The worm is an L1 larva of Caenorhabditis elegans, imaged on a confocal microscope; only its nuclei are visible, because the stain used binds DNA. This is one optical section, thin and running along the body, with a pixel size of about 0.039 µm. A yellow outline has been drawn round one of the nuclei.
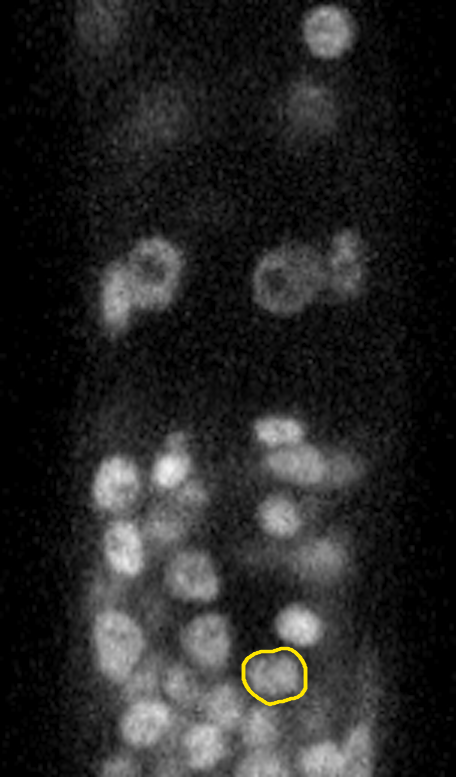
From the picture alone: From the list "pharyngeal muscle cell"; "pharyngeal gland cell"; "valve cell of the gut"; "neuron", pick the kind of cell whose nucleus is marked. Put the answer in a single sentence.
This nucleus is from a pharyngeal gland cell.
